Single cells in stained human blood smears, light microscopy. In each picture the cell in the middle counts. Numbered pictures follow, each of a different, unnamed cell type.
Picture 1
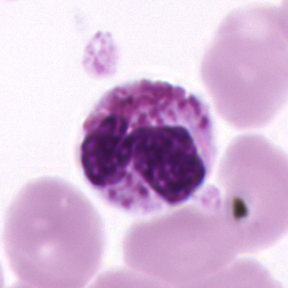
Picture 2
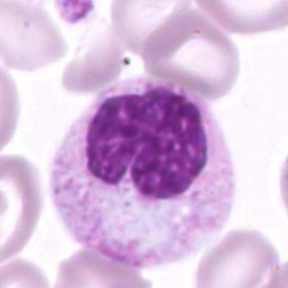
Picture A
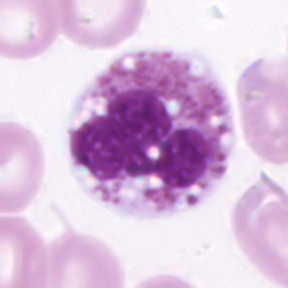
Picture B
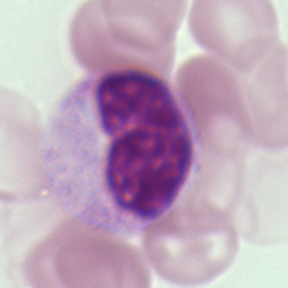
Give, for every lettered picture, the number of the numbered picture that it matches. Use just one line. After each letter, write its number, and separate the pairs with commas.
A 1, B 2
